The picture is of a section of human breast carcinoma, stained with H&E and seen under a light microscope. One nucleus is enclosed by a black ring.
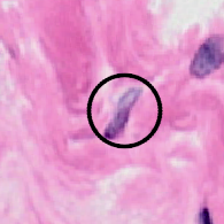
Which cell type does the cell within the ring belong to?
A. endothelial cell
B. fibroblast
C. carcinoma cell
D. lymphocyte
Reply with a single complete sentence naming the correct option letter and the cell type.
The right pick is option B; the cell within the ring is a fibroblast.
